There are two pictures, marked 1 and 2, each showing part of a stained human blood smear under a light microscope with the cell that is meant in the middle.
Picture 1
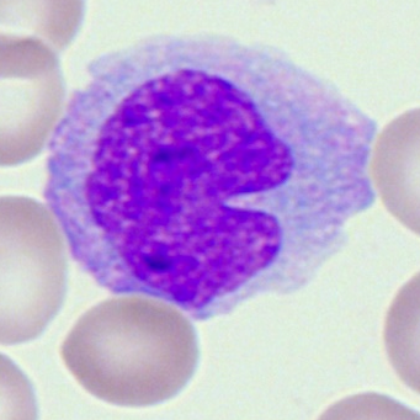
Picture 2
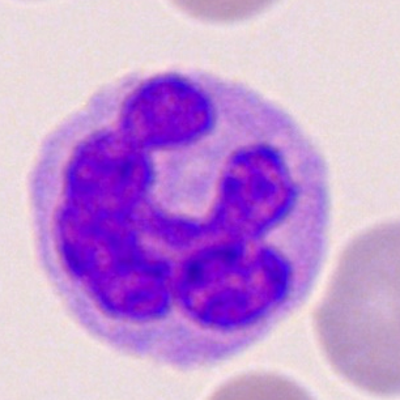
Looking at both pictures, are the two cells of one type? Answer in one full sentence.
Yes, the two pictures both show monocytes.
